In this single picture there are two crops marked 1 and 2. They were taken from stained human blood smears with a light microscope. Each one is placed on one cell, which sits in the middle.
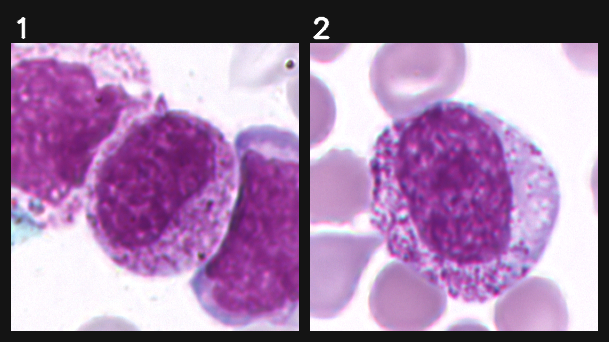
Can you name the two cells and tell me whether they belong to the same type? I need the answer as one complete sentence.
Yes, the cells at the centre of both crops are myelocytes.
